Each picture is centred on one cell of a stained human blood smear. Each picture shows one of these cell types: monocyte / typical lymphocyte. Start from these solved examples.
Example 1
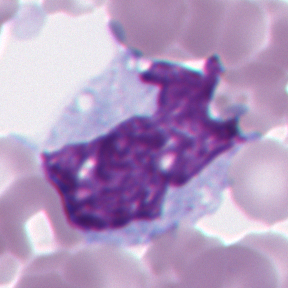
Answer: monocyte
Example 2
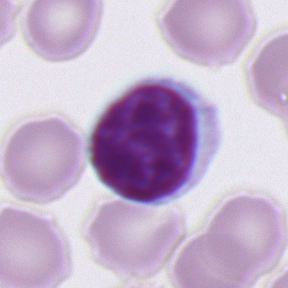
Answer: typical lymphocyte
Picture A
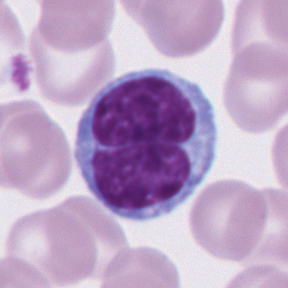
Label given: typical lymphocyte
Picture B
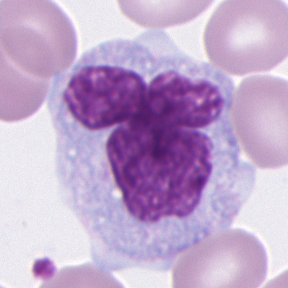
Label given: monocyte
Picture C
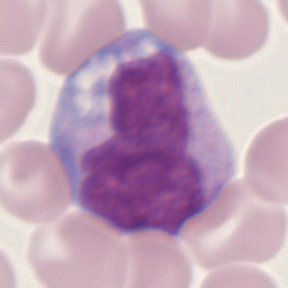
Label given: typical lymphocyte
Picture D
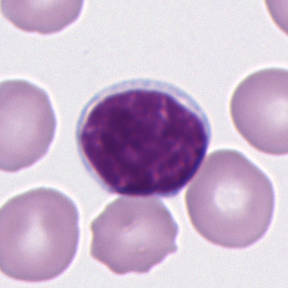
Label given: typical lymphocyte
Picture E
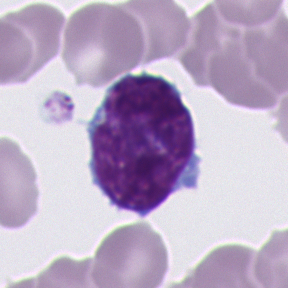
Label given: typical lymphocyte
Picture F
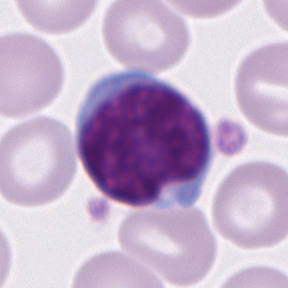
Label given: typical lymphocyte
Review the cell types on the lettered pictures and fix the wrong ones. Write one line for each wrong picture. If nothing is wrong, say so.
C should be monocyte, not typical lymphocyte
